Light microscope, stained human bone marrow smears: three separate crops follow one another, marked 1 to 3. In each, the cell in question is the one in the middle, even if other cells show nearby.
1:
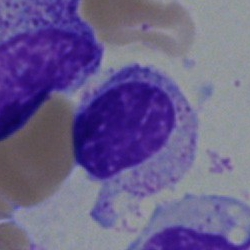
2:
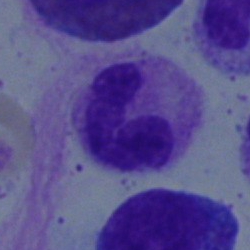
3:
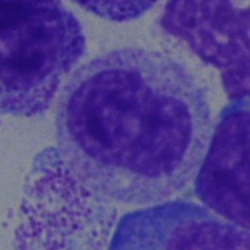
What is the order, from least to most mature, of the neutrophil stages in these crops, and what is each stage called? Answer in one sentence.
From least mature to most mature, the crops fall in the order crop 1 (a myelocyte), crop 3 (a metamyelocyte) and crop 2 (a band neutrophil).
